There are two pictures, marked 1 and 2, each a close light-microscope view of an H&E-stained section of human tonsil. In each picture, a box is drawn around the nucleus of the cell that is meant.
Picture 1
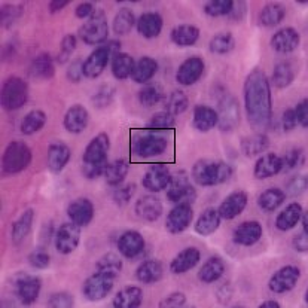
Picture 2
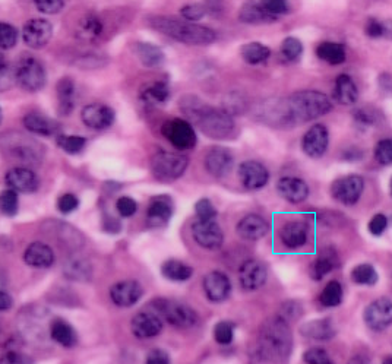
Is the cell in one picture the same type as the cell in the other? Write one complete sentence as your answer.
Yes, the two pictures both show plasma cells.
